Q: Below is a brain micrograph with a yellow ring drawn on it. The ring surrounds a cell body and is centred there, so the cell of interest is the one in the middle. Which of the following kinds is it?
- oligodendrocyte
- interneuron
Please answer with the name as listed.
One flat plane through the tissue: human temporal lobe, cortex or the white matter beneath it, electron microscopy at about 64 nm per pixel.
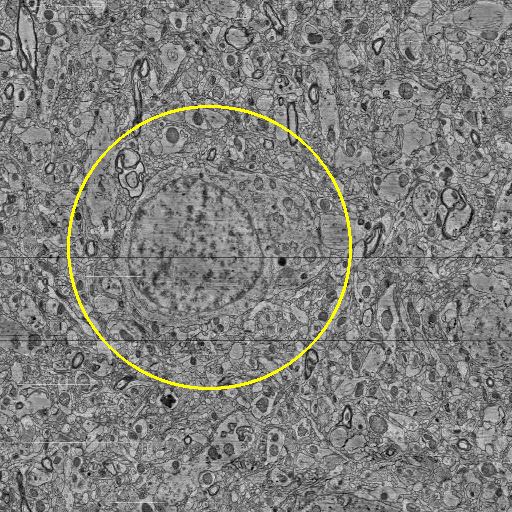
interneuron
